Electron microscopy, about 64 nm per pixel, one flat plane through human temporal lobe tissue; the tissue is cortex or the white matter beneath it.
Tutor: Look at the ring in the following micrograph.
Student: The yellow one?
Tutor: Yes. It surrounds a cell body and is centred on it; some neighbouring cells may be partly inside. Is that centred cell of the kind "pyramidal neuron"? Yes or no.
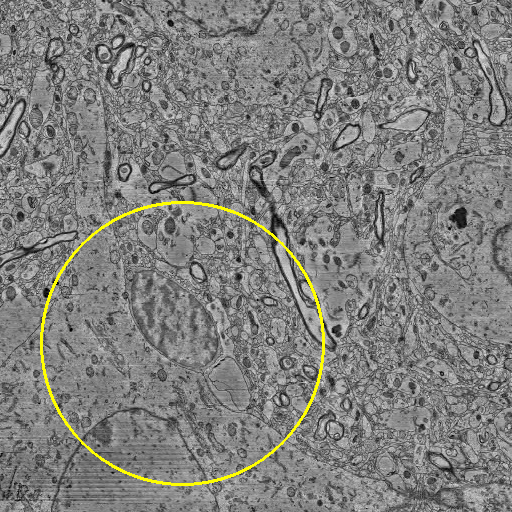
no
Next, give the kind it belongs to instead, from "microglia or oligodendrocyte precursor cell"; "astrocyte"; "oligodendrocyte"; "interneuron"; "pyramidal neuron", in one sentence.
The cell in question here is an oligodendrocyte.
